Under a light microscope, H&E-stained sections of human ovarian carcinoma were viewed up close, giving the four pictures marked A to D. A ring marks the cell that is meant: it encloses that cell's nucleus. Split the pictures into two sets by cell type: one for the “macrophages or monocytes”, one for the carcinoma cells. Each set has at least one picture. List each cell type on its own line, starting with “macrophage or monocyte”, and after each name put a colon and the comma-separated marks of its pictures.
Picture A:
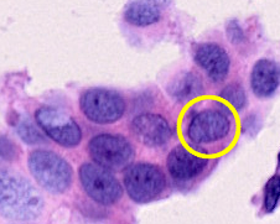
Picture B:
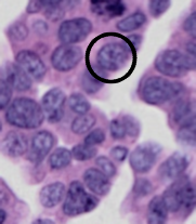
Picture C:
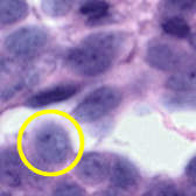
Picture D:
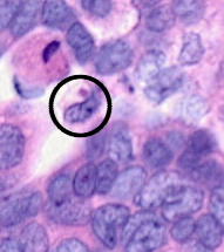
macrophage or monocyte: D
carcinoma cell: A, B, C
